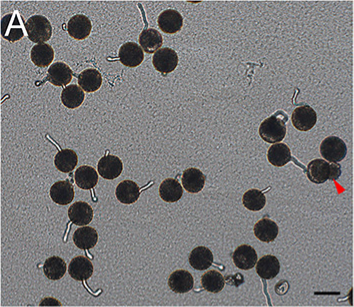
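Germinating pollen grains lie scattered over a pale, even background. The grains are round, of uniform size, dark and finely granular, with a thin bright rim. Many grains lie singly, others in small clusters or short chains touching one another. From a large share of them a single slender tube grows out; the tubes are narrow, clear and smooth-walled, of varying length, some short stubs and some longer, gently curved extensions several times thinner than the grain. Little debris lies between the grains.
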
